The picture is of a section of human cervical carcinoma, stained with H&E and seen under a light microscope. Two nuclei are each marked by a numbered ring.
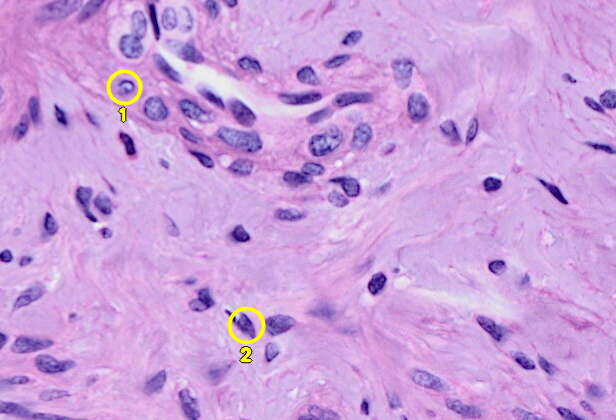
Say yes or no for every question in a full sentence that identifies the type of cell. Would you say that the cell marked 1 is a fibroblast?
No, the cell bearing number 1 is not a fibroblast but a smooth muscle cell.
